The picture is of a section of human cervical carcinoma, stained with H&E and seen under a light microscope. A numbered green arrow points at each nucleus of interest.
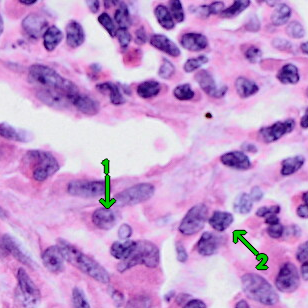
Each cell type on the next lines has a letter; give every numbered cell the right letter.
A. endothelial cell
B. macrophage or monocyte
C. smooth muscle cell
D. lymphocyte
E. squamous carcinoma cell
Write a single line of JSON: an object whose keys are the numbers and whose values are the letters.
{"1": "B", "2": "D"}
